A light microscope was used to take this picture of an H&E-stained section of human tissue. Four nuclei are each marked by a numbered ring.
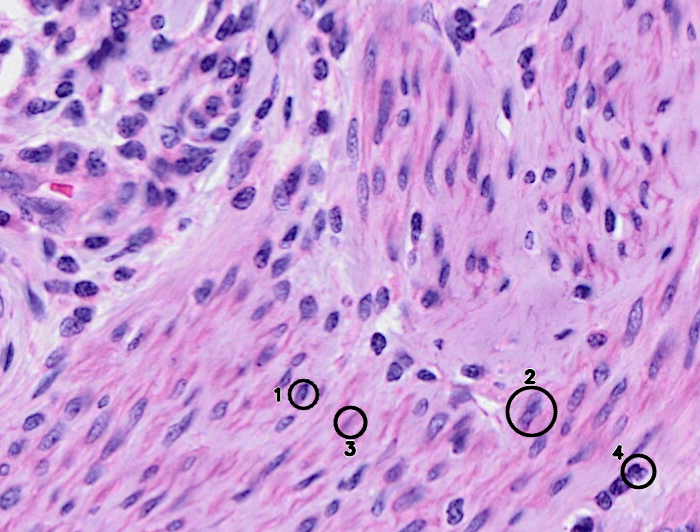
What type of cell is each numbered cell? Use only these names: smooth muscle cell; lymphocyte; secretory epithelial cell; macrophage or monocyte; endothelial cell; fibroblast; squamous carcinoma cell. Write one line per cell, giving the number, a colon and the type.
1: smooth muscle cell
2: smooth muscle cell
3: smooth muscle cell
4: lymphocyte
